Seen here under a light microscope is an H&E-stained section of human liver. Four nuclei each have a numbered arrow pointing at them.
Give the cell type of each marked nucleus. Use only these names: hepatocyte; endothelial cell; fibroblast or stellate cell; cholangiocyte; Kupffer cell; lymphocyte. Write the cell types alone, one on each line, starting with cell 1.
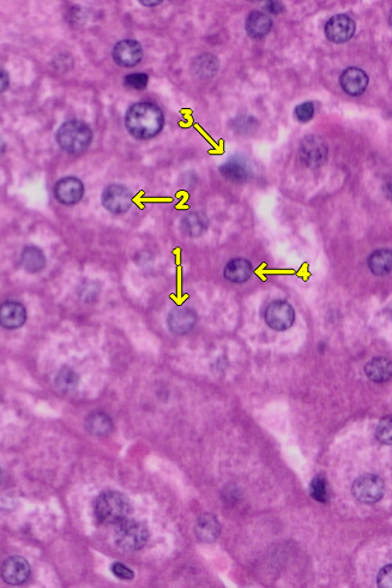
hepatocyte
hepatocyte
endothelial cell
hepatocyte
